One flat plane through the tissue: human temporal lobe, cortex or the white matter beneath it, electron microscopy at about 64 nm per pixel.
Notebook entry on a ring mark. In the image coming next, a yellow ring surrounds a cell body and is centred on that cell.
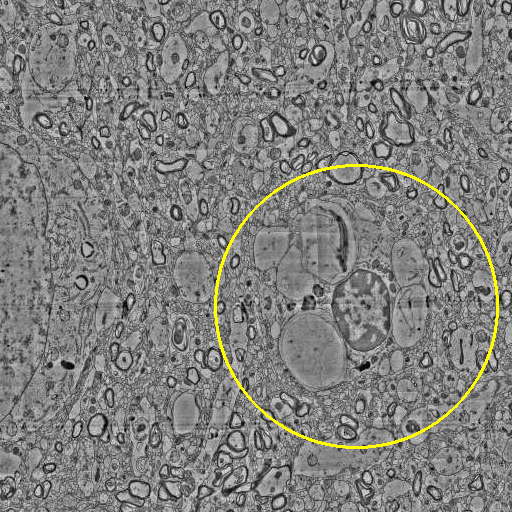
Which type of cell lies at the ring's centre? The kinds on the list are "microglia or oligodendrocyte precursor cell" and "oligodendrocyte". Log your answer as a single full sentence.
Centred in the yellow ring is a microglial cell or oligodendrocyte precursor cell, the cell recorded for this image.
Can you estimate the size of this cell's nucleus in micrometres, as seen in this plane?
In this plane the nucleus spans approximately 5 by 4 micrometers.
